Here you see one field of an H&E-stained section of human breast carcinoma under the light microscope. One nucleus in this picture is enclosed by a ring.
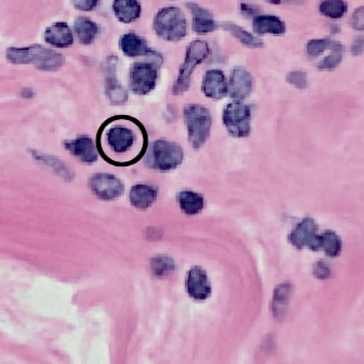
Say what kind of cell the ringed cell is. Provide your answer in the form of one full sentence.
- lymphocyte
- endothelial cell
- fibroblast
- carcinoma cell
It is a lymphocyte that the ringed cell represents.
